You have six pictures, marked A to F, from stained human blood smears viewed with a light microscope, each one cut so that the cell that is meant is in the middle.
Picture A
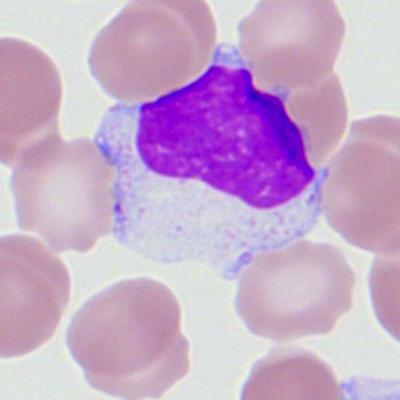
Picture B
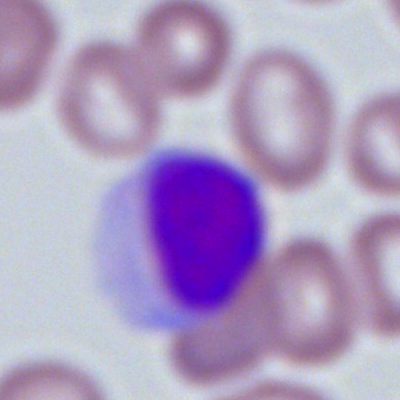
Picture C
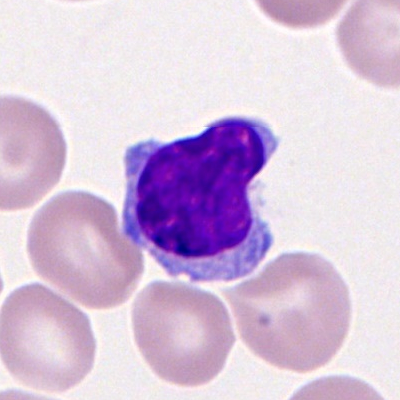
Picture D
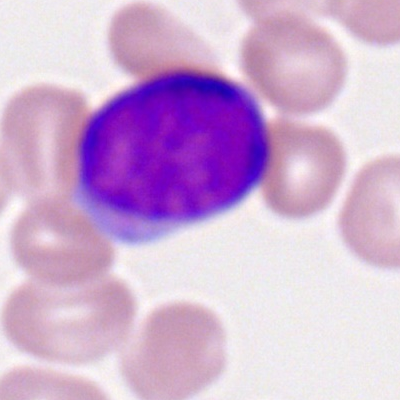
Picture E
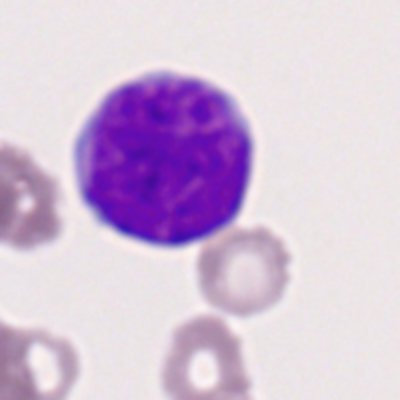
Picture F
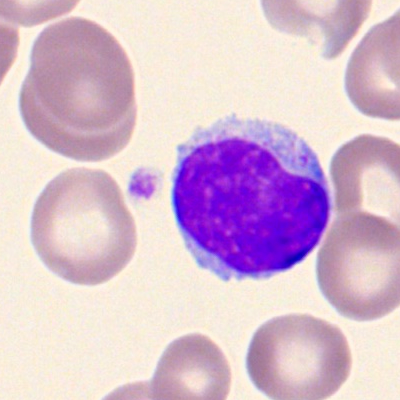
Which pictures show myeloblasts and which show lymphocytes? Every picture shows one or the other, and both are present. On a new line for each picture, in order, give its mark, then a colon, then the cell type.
A: lymphocyte
B: lymphocyte
C: lymphocyte
D: myeloblast
E: myeloblast
F: lymphocyte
